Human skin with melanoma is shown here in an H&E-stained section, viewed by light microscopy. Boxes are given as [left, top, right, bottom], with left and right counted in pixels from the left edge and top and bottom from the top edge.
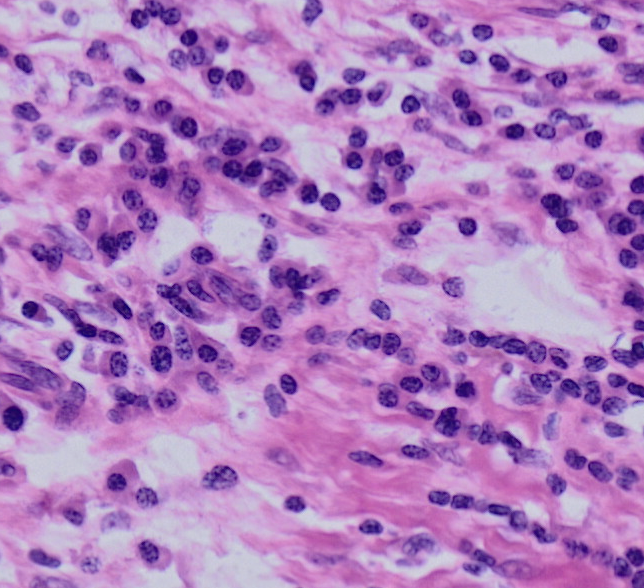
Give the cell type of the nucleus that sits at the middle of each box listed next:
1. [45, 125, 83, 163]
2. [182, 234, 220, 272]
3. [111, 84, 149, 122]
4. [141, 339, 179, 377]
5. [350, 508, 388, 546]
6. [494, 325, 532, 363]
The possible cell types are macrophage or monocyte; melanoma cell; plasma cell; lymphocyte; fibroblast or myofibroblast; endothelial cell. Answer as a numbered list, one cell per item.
1. plasma cell
2. plasma cell
3. plasma cell
4. plasma cell
5. lymphocyte
6. lymphocyte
